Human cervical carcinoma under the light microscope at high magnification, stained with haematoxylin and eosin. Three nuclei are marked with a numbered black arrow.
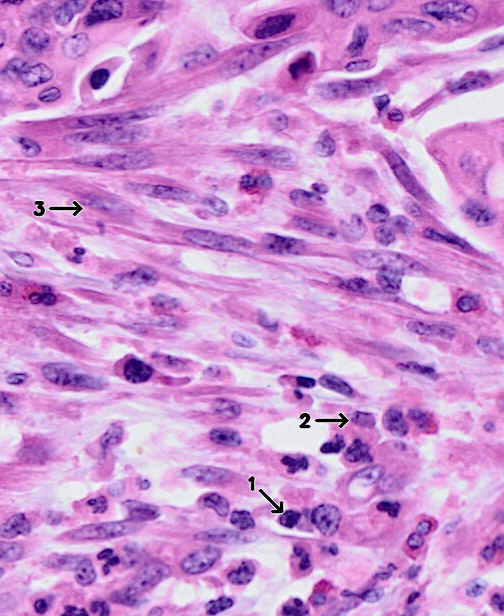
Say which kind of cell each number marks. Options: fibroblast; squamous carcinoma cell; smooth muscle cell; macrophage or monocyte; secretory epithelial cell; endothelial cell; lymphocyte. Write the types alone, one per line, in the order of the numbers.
lymphocyte
macrophage or monocyte
fibroblast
